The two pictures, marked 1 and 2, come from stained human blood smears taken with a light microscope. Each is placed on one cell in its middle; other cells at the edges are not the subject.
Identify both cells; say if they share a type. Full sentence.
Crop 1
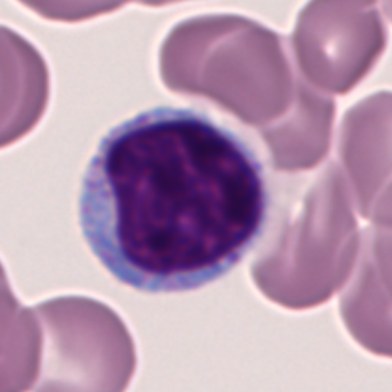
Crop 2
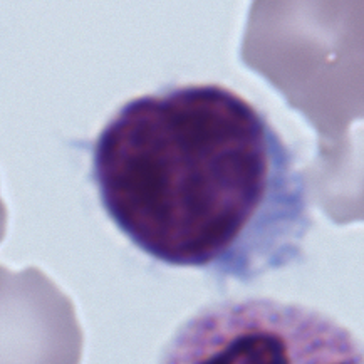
No, a hairy cell is in crop 2, and a typical lymphocyte is in crop 1.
